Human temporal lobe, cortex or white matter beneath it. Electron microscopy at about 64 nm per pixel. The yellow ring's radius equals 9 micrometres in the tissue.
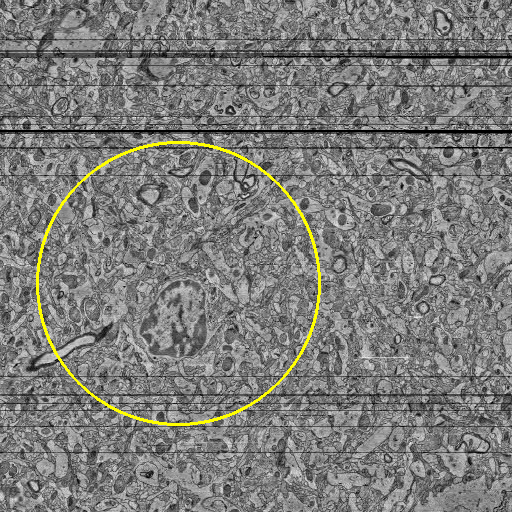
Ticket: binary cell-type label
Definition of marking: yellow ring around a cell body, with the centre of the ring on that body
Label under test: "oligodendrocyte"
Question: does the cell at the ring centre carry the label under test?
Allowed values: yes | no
no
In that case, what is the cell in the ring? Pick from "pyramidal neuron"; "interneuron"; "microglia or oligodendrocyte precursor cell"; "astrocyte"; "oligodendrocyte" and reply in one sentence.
It is a microglial cell or oligodendrocyte precursor cell at the centre of the ring.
